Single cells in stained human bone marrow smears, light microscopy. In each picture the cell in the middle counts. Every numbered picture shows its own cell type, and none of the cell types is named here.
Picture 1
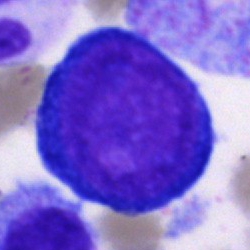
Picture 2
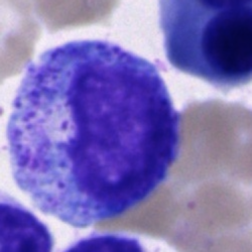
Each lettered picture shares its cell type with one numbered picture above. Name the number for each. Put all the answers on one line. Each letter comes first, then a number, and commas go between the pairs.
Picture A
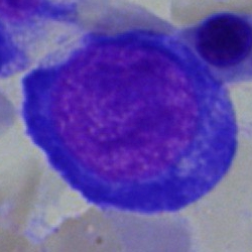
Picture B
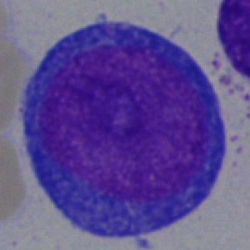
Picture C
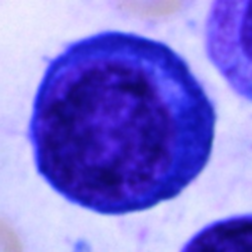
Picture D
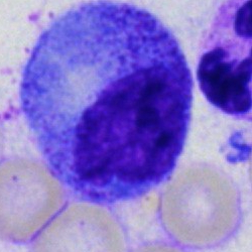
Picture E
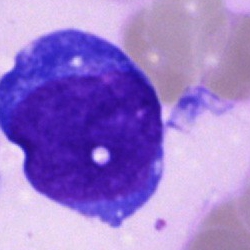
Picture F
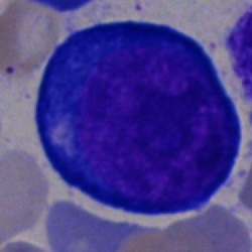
A 1, B 1, C 1, D 2, E 1, F 1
